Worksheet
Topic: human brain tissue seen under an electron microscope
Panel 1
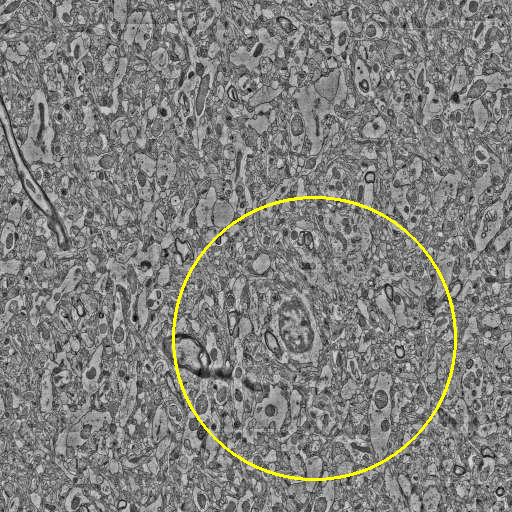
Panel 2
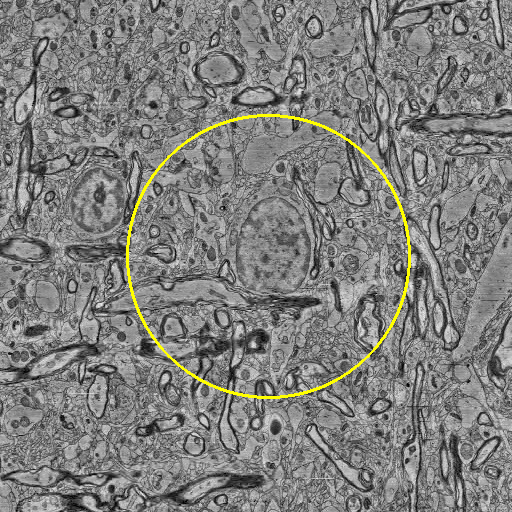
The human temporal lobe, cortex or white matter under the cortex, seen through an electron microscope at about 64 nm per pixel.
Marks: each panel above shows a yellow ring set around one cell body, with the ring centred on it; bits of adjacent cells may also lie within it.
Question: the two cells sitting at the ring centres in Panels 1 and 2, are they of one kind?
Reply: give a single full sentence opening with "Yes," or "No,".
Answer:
No, the two ring-centre cells in Panel 1 and Panel 2 are of two kinds.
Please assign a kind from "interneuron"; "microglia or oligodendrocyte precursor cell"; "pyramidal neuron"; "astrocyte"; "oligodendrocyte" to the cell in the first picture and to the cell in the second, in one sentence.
In the first picture we have a microglial cell or oligodendrocyte precursor cell, and in the second, an oligodendrocyte.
